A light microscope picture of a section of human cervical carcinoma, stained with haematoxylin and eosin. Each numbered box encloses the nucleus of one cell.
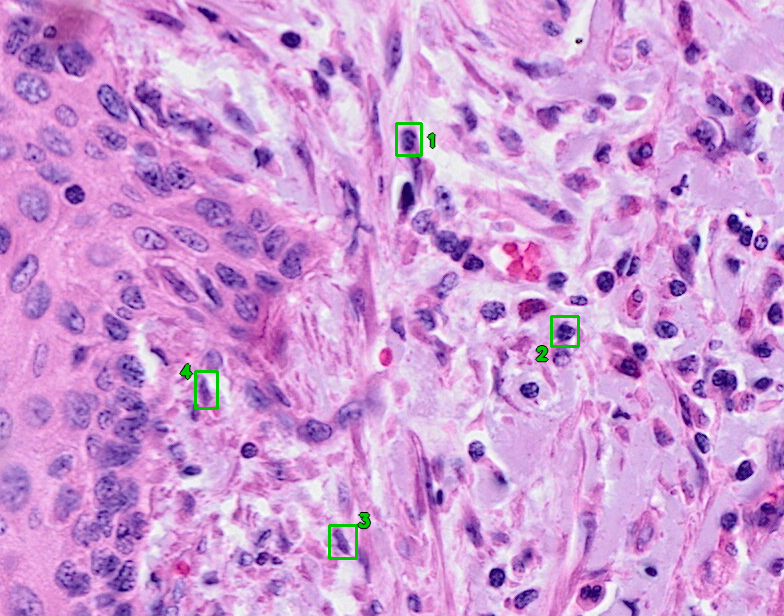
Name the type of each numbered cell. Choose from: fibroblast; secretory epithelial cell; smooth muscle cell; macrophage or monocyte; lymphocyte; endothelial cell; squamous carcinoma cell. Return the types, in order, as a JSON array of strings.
["lymphocyte", "lymphocyte", "fibroblast", "fibroblast"]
